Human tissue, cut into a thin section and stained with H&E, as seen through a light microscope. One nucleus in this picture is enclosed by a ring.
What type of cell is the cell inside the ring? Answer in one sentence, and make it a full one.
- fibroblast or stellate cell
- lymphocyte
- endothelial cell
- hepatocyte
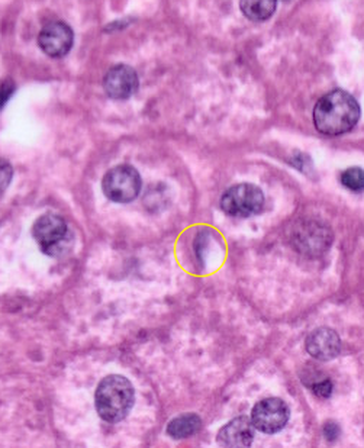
Recorded by type, the cell inside the ring is an endothelial cell.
